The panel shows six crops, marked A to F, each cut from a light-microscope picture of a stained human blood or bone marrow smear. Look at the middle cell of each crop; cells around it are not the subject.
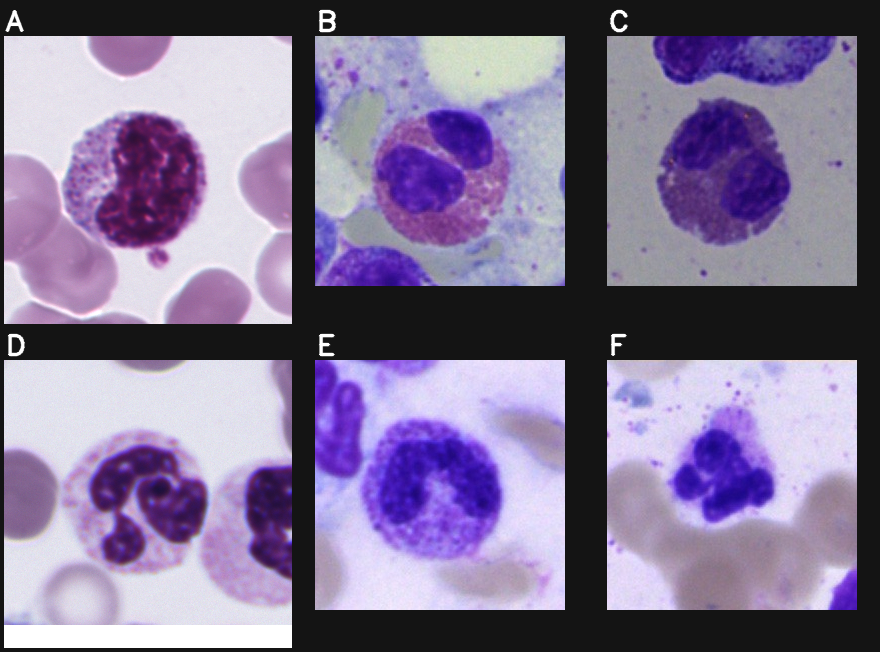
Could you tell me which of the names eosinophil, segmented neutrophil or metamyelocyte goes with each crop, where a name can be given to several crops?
A: metamyelocyte
B: eosinophil
C: eosinophil
D: segmented neutrophil
E: segmented neutrophil
F: segmented neutrophil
